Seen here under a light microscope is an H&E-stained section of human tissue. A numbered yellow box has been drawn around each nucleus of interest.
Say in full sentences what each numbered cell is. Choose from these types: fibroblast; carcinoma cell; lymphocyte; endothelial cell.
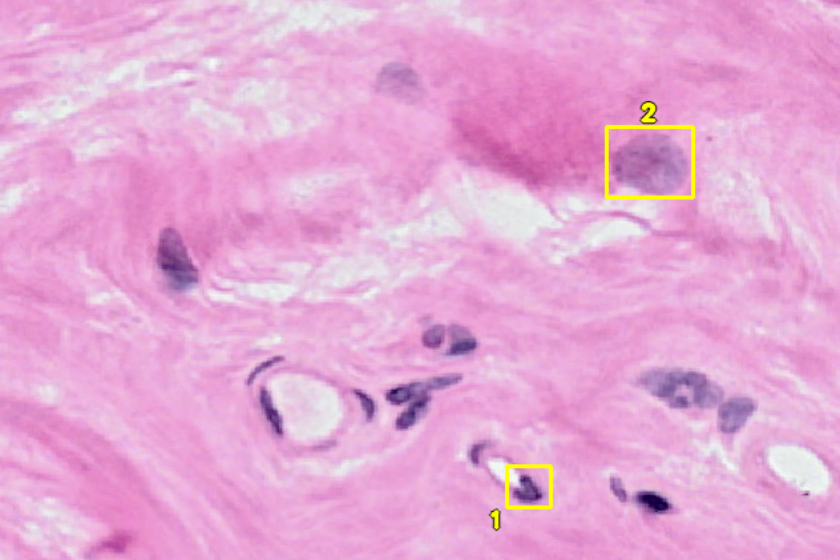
Cell 1 is an endothelial cell and cell 2 is a fibroblast.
